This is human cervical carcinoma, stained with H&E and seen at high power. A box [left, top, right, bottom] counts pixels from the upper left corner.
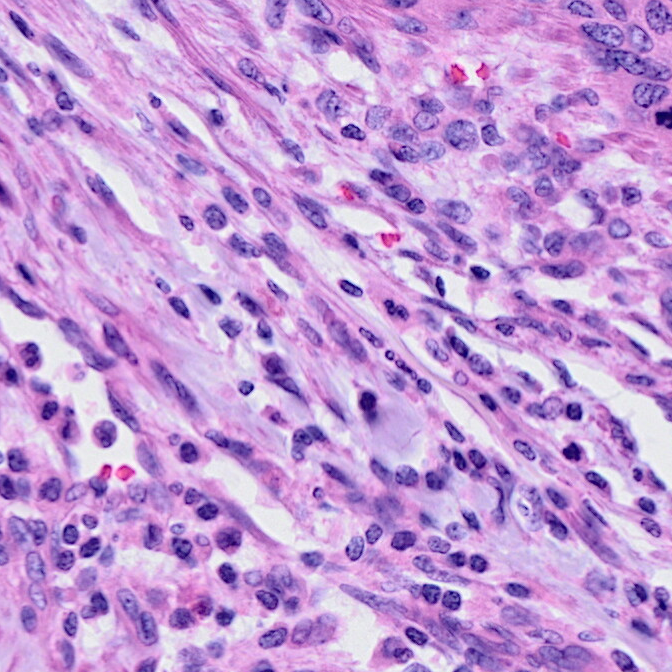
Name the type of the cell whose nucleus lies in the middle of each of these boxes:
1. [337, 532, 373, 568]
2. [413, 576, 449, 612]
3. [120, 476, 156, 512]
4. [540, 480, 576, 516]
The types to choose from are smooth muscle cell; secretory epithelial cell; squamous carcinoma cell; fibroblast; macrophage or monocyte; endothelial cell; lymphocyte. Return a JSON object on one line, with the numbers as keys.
{"1": "lymphocyte", "2": "lymphocyte", "3": "endothelial cell", "4": "lymphocyte"}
